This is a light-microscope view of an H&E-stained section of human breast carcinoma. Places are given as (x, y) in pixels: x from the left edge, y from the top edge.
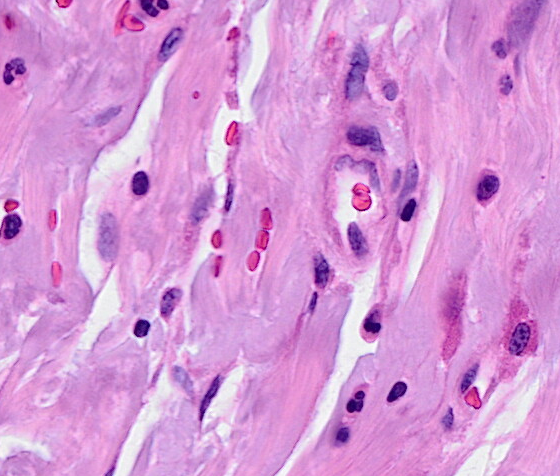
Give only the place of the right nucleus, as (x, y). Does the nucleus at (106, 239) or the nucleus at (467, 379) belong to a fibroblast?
(106, 239)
